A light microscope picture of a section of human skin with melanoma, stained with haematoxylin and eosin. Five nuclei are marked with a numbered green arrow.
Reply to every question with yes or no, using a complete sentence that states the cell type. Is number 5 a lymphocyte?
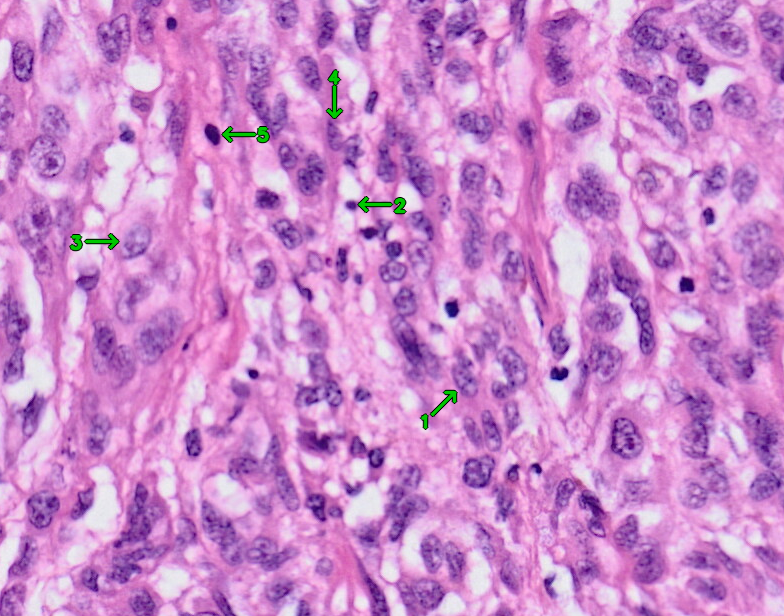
Yes, the one numbered 5 is a lymphocyte.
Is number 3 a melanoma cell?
Yes, the cell that number 3 points to is a melanoma cell.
